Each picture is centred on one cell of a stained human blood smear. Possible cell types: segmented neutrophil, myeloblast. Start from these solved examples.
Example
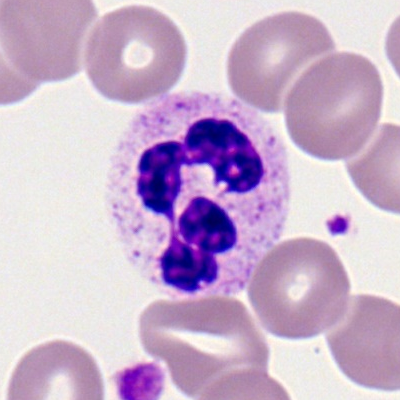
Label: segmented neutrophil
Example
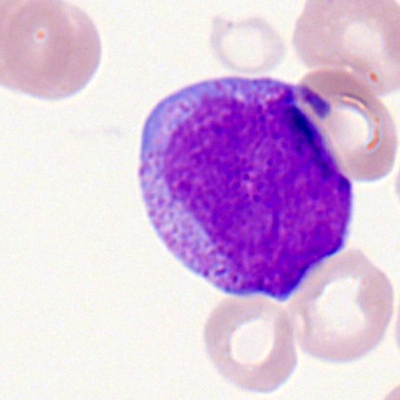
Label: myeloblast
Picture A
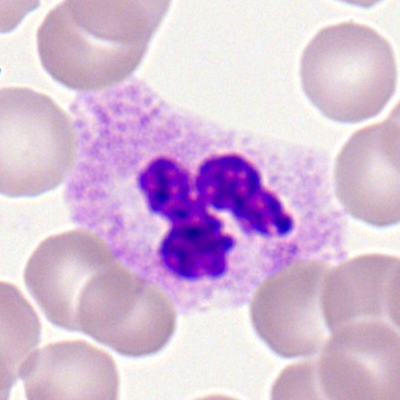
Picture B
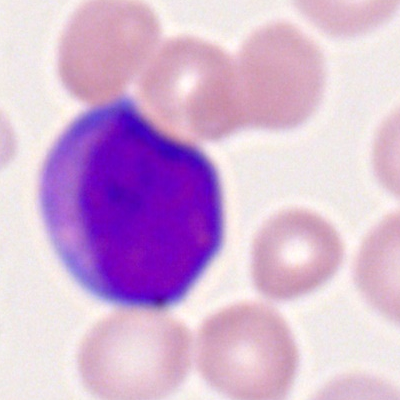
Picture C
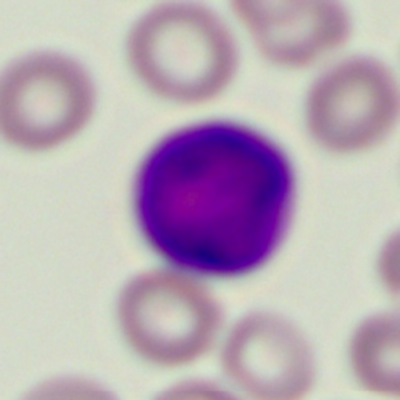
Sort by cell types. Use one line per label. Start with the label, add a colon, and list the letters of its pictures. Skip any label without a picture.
segmented neutrophil: A
myeloblast: B, C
